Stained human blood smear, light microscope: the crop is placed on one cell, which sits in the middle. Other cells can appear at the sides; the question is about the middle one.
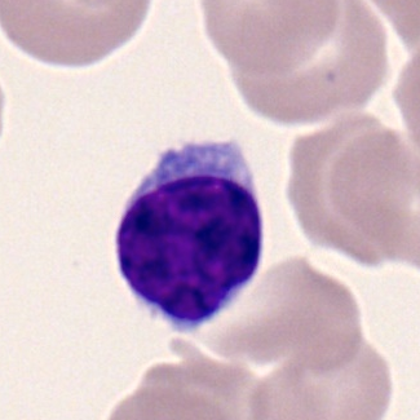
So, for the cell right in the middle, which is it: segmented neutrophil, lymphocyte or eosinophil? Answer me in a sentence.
In this crop, the cell at the very middle is a lymphocyte.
